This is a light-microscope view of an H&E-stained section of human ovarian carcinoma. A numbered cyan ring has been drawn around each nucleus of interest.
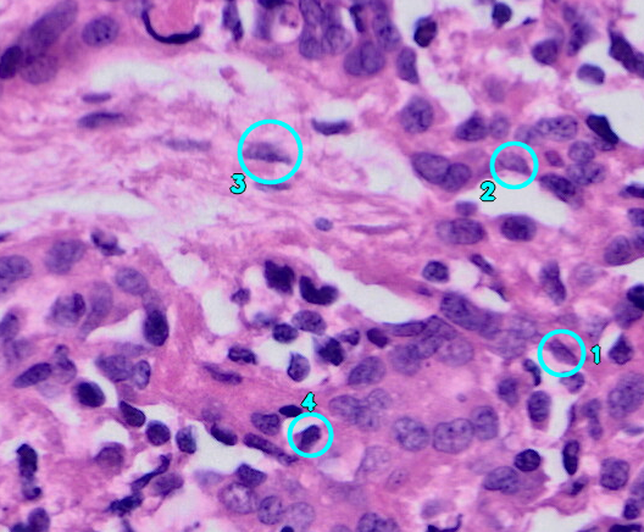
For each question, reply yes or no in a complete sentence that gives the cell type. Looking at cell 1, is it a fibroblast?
No, the cell given number 1 is a carcinoma cell, not a fibroblast.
